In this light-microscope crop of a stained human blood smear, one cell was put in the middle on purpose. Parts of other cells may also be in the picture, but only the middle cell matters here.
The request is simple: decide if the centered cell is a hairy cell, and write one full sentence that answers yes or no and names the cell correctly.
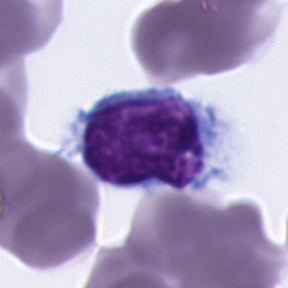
Yes, the cell that occupies the centre is a hairy cell.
